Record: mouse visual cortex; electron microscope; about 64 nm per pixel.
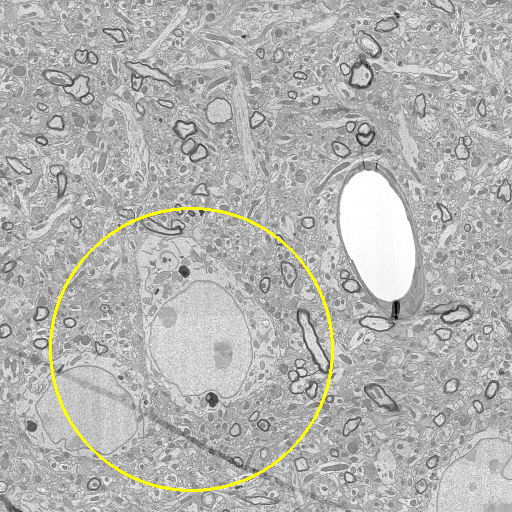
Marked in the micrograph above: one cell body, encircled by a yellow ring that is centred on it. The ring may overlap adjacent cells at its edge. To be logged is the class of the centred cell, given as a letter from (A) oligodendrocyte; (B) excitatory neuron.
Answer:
B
